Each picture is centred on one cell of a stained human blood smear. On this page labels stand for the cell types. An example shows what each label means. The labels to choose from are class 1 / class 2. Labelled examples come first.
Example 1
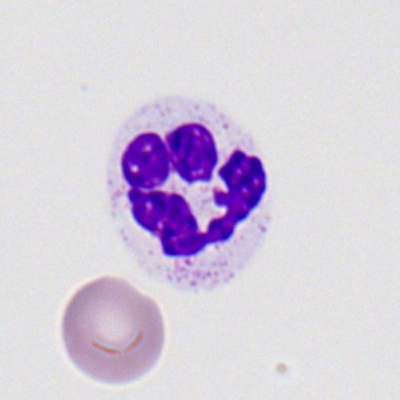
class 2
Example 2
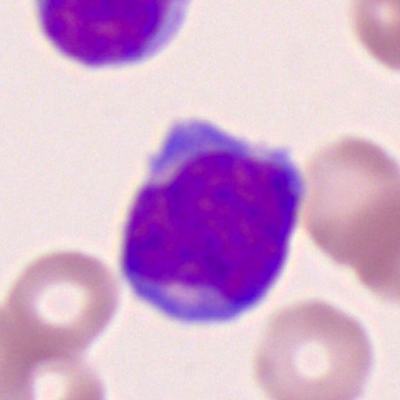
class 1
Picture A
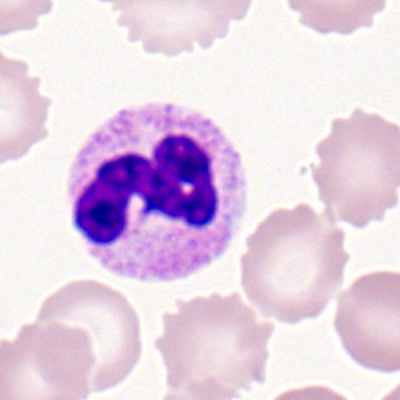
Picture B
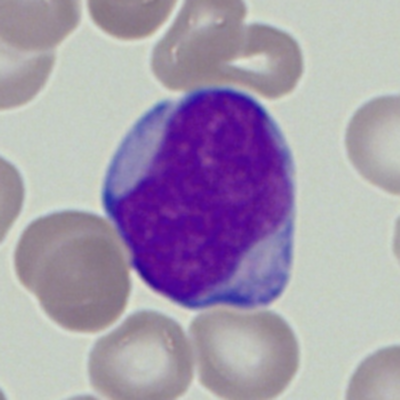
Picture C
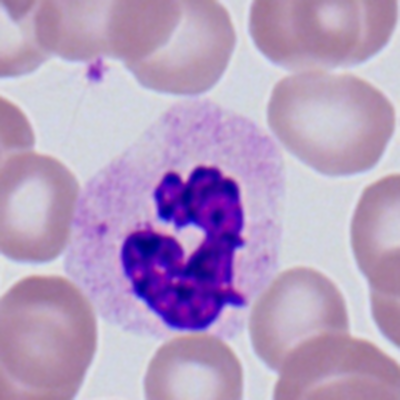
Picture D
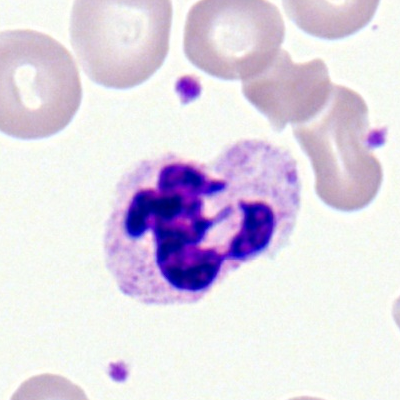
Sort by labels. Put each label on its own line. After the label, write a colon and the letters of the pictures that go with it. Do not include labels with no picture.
class 1: B
class 2: A, C, D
